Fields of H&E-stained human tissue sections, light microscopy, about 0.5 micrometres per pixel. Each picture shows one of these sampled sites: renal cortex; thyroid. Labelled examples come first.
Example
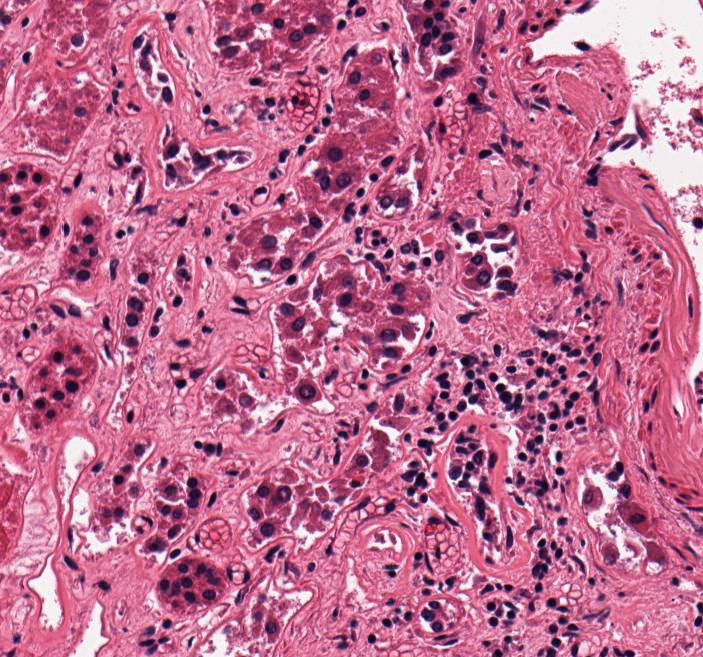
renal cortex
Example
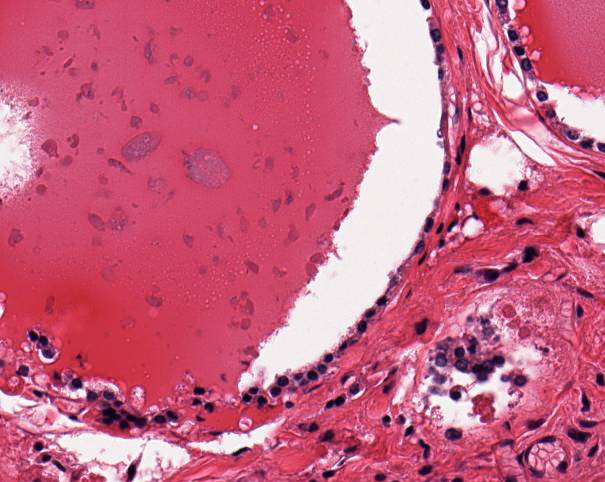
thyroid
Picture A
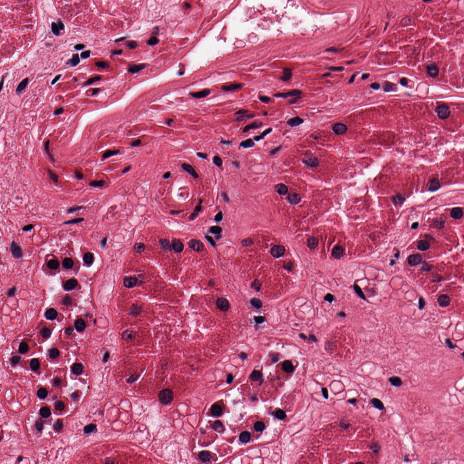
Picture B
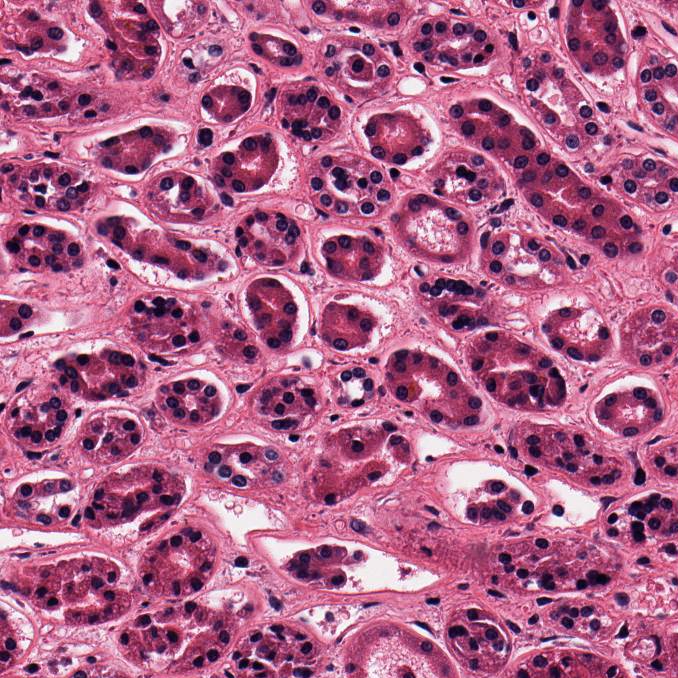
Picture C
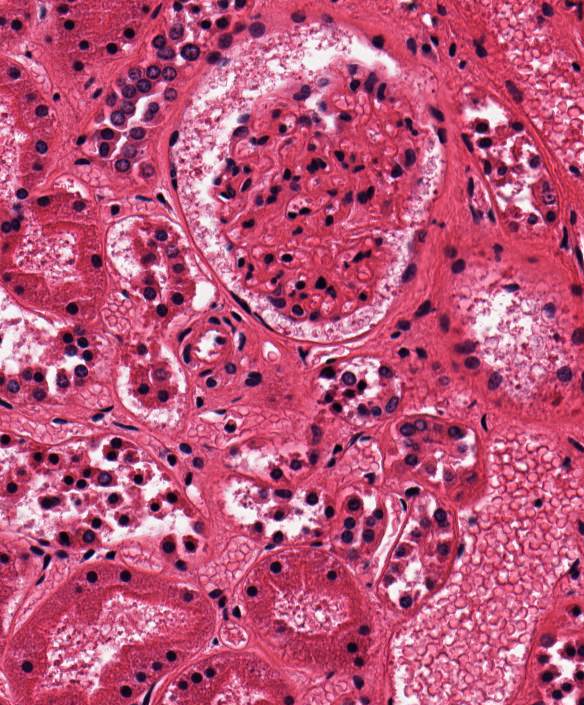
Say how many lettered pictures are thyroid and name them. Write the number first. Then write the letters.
0, none of them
